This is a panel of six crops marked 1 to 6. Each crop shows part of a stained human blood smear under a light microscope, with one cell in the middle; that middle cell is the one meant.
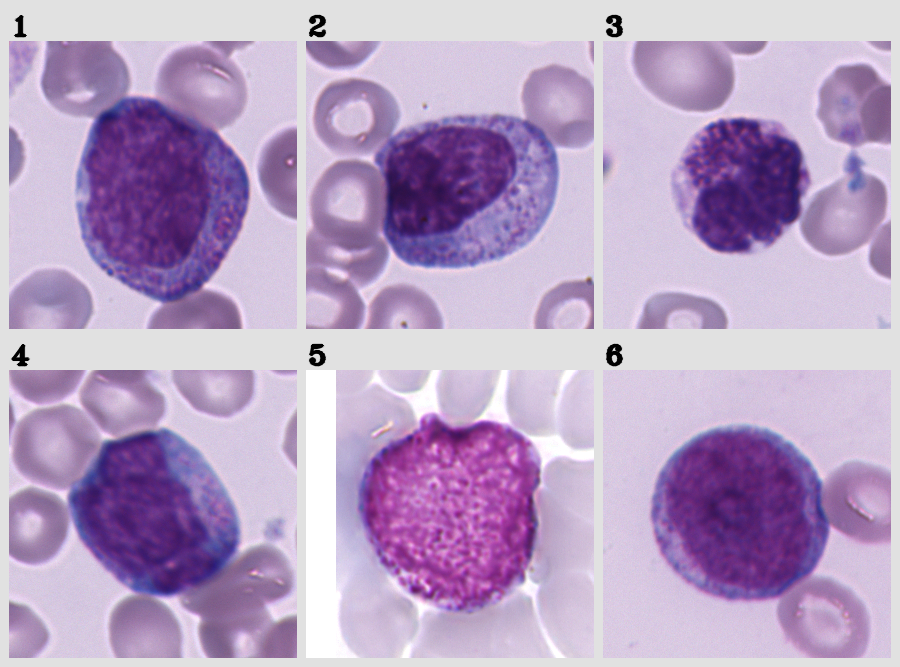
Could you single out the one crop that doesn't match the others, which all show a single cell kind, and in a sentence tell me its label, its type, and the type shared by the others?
Differing from the rest, crop 3 shows a basophil; the others all show promyelocytes.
